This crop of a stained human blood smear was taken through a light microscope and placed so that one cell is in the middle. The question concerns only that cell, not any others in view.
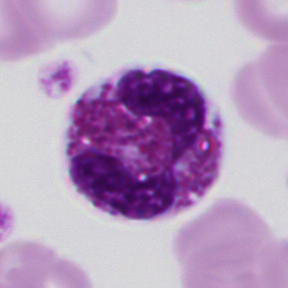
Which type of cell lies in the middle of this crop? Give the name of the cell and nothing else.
eosinophil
